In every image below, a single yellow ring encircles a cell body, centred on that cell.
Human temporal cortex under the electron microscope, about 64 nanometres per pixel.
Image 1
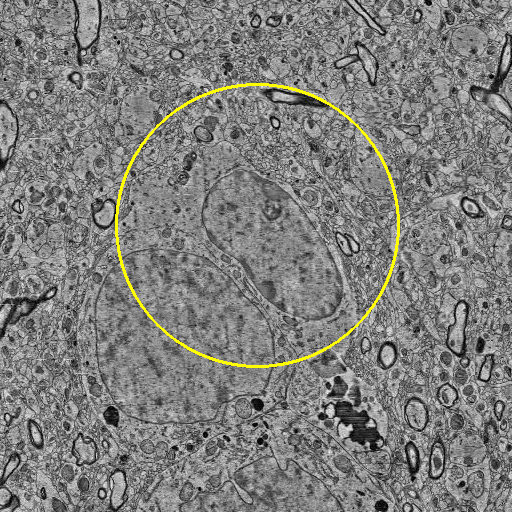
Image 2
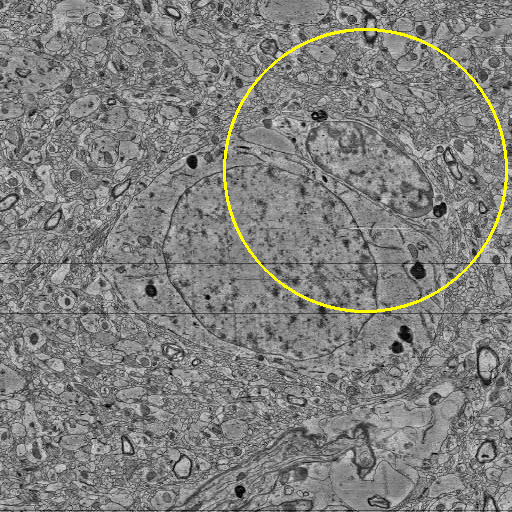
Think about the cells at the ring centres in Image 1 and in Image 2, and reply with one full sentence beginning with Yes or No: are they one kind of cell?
Yes, the cells centred in the rings of Image 1 and Image 2 are one kind of cell.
